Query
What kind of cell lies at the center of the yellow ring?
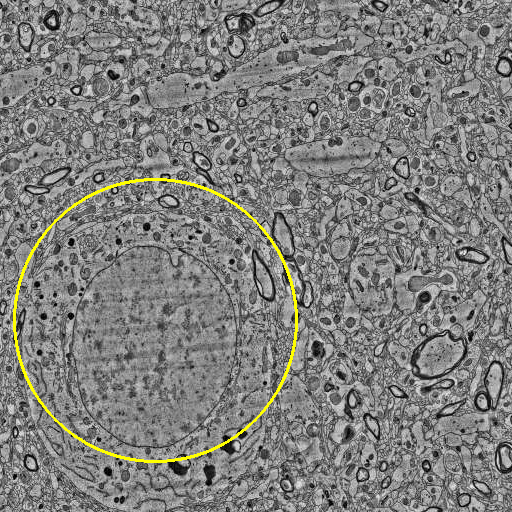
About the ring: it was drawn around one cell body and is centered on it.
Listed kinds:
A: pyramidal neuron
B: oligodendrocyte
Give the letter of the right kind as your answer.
A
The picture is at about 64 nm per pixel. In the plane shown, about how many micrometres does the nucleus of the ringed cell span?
Approximately 13 by 11 micrometers in this plane.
